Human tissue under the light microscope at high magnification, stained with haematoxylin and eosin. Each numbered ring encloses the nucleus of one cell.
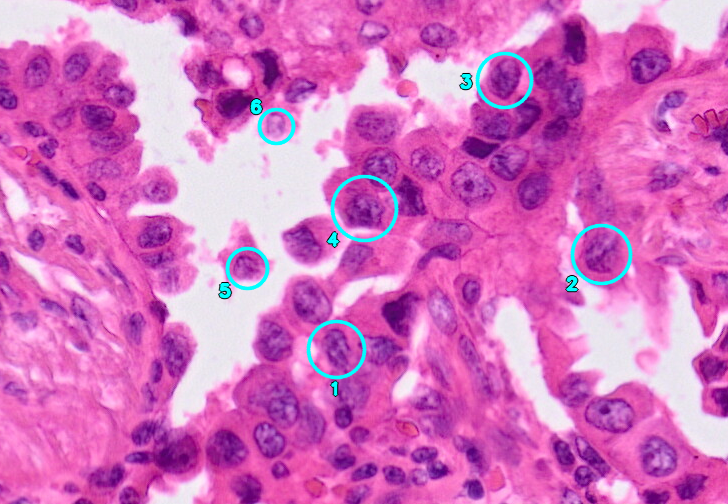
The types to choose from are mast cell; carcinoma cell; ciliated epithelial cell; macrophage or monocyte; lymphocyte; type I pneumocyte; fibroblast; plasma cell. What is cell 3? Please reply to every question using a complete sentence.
The cell given label 3 is a carcinoma cell.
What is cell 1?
The cell numbered 1 represents a carcinoma cell.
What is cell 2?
The one numbered 2 among the marked cells is a carcinoma cell.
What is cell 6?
The correct label for cell 6 is a macrophage or monocyte.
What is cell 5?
Cell number 5 in this section is a macrophage or monocyte.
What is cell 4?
The nucleus with number 4 is that of a carcinoma cell.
